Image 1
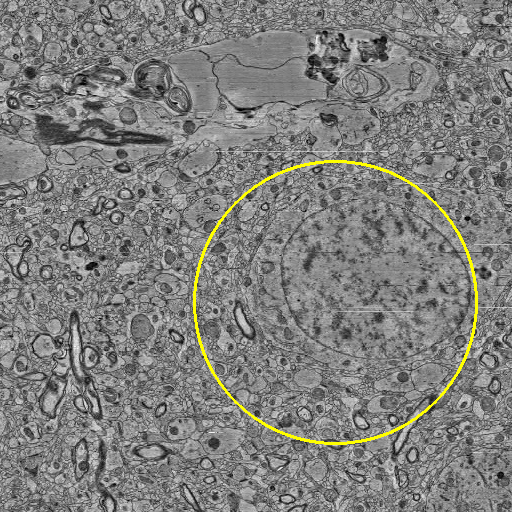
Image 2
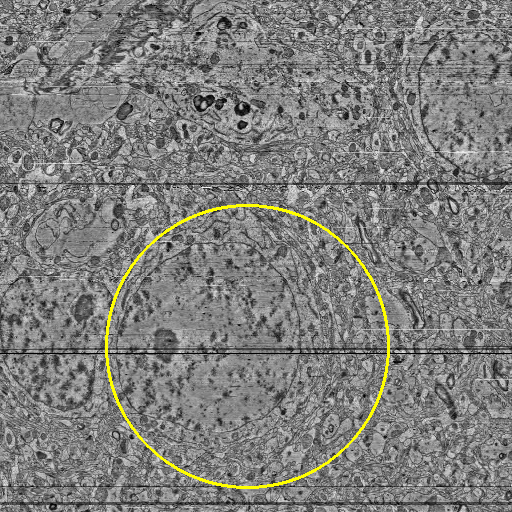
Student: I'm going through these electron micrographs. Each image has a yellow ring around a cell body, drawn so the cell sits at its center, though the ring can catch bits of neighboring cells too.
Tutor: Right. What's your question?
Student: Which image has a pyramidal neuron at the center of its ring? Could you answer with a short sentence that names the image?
Image 2 shows it at the center of its ring.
